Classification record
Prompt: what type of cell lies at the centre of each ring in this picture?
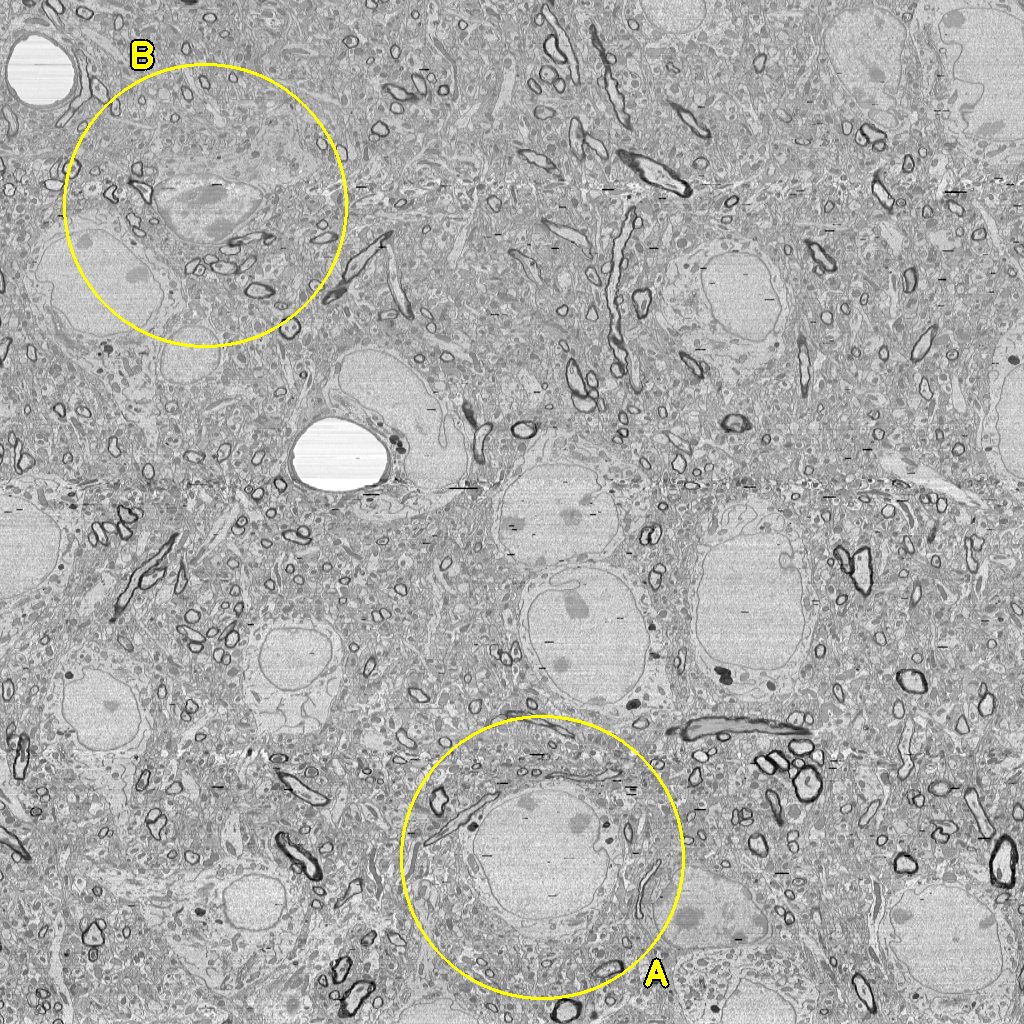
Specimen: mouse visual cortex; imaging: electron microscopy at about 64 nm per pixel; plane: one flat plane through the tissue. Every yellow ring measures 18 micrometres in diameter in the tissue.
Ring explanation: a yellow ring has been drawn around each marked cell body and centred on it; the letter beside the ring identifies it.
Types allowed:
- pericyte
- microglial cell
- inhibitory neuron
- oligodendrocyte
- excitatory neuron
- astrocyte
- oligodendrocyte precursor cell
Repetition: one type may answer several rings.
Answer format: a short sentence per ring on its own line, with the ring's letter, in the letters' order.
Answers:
Ring A shows an excitatory neuron at its centre.
Ring B shows an oligodendrocyte at its centre.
